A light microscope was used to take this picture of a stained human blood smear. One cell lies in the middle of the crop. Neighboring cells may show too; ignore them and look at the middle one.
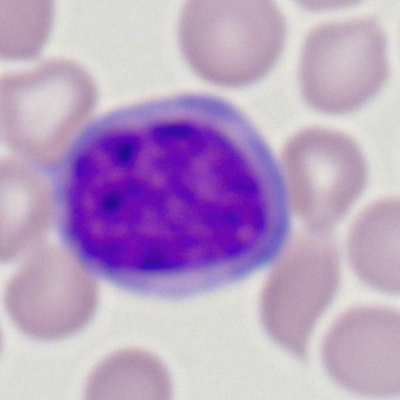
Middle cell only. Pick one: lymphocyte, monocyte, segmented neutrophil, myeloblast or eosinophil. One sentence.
The cell that lies at the centre of the crop is a monocyte.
